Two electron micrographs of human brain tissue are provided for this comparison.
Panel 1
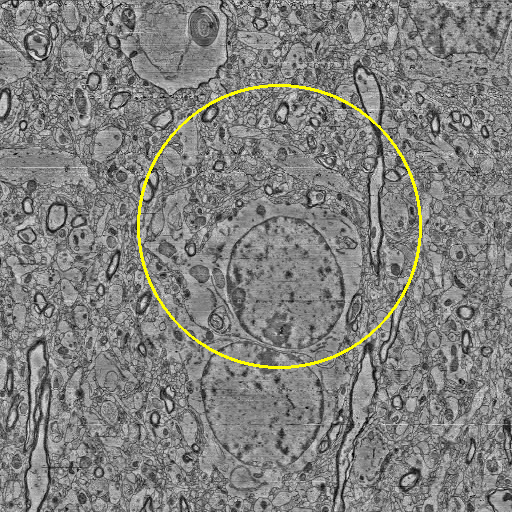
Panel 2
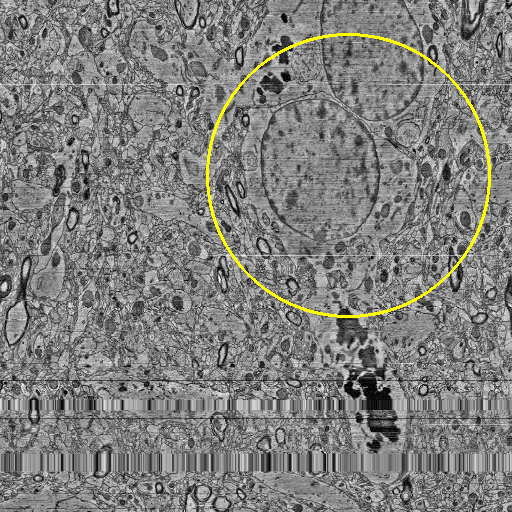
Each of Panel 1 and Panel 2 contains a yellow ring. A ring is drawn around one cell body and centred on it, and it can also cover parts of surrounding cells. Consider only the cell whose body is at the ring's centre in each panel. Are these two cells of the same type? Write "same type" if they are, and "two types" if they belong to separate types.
same type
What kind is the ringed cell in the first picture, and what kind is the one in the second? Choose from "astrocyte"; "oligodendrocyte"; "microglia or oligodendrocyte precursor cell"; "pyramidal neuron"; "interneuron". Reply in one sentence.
Each cell, in the first picture and the second, is an astrocyte.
